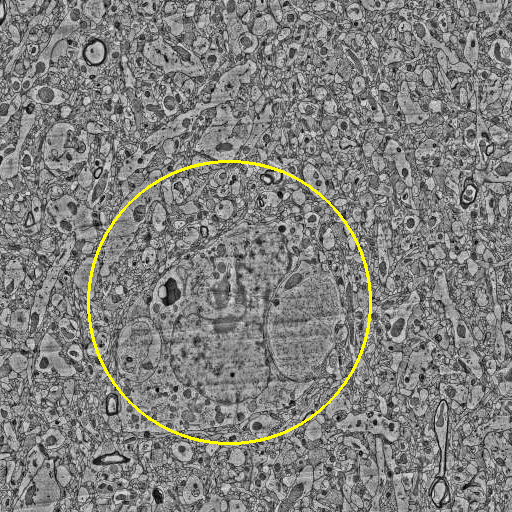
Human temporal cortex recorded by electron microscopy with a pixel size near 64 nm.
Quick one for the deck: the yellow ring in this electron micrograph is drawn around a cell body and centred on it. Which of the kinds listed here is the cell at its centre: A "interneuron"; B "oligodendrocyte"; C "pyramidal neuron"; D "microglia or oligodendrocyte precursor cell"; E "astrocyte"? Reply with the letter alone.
A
